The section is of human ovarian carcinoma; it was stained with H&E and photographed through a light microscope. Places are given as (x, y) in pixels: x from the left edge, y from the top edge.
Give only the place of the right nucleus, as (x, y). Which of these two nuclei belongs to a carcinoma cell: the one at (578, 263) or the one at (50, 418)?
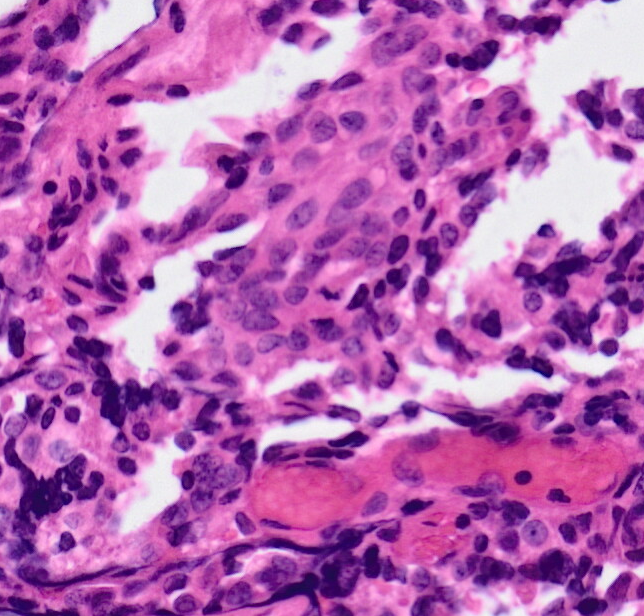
(578, 263)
